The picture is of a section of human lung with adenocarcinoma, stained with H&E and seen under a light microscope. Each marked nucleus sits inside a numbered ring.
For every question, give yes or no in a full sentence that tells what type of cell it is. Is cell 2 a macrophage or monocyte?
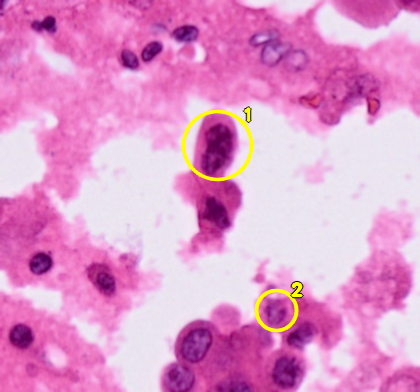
Yes, the cell marked with number 2 is a macrophage or monocyte.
